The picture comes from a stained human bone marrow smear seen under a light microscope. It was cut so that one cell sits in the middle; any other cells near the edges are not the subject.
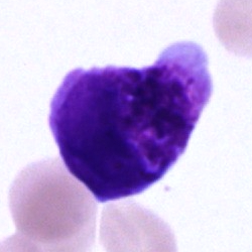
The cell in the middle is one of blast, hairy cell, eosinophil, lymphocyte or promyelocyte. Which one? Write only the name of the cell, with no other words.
blast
